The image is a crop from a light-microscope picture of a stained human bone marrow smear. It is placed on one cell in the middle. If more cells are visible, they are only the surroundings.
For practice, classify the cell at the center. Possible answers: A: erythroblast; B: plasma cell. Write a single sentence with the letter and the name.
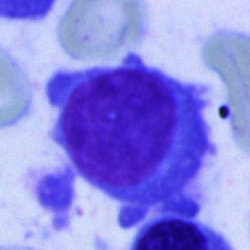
Of the options given, B is correct, the central cell being a plasma cell.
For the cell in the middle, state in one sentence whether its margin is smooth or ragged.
The cell is outlined unevenly, the border being ragged or extended into projections.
